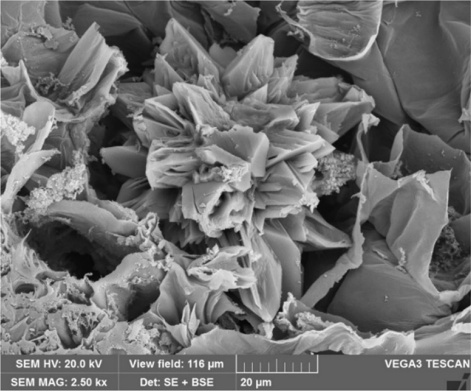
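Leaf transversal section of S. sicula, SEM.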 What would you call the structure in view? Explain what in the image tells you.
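Druses. A rosette-like aggregate of many angular, plate-like crystals in the centre. The aggregate fills a cell cavity surrounded by collapsed cell walls.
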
